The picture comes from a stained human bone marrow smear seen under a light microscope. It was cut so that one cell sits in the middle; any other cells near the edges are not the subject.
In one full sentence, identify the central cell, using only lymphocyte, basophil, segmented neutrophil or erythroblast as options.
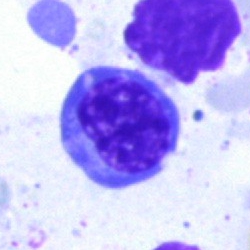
In this crop, the cell at the very middle is an erythroblast.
